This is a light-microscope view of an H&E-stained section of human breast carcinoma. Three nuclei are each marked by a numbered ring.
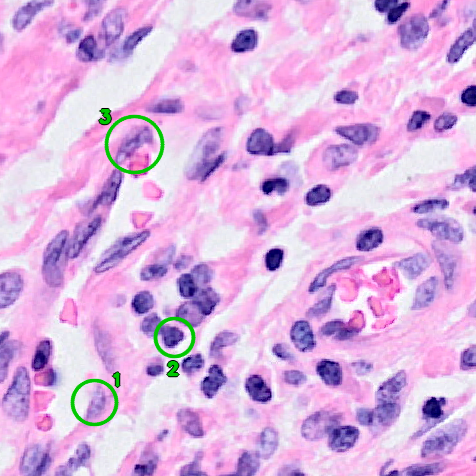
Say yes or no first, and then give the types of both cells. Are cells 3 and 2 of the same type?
No, cell 3 is an endothelial cell and cell 2 is a lymphocyte.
